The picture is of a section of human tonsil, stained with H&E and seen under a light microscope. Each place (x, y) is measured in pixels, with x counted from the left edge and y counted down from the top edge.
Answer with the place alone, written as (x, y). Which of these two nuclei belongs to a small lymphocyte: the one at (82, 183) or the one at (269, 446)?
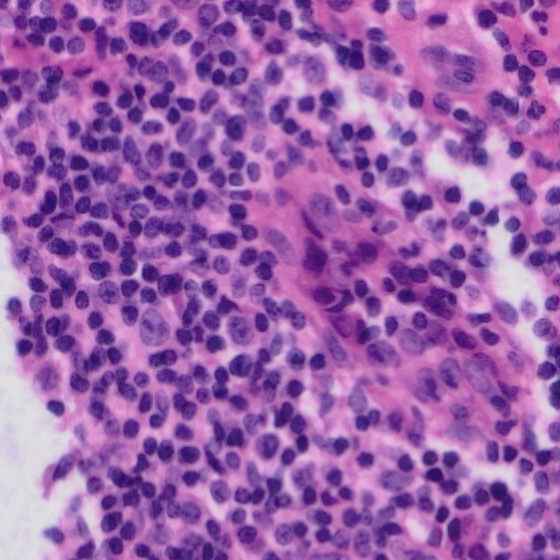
(82, 183)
